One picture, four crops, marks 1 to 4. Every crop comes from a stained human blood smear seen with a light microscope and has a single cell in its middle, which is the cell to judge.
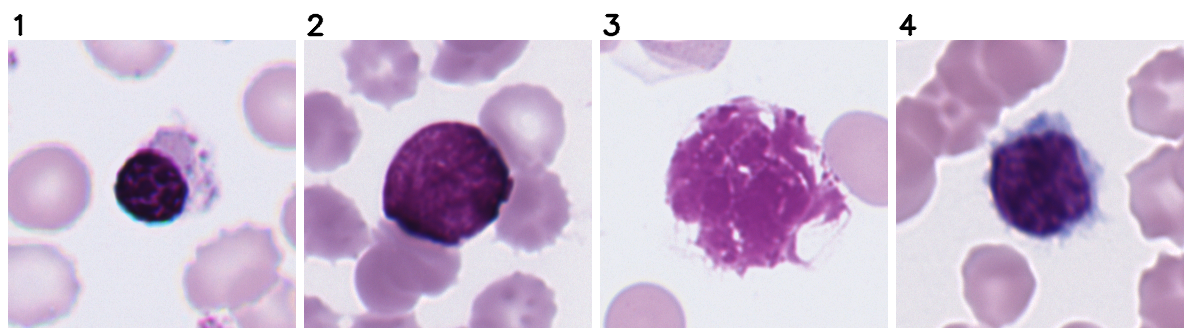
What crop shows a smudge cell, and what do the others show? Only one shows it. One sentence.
Of the crops, crop 3 shows a smudge cell, while crop 1 is a normoblast, crop 2 is a myeloblast and crop 4 is a hairy cell.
